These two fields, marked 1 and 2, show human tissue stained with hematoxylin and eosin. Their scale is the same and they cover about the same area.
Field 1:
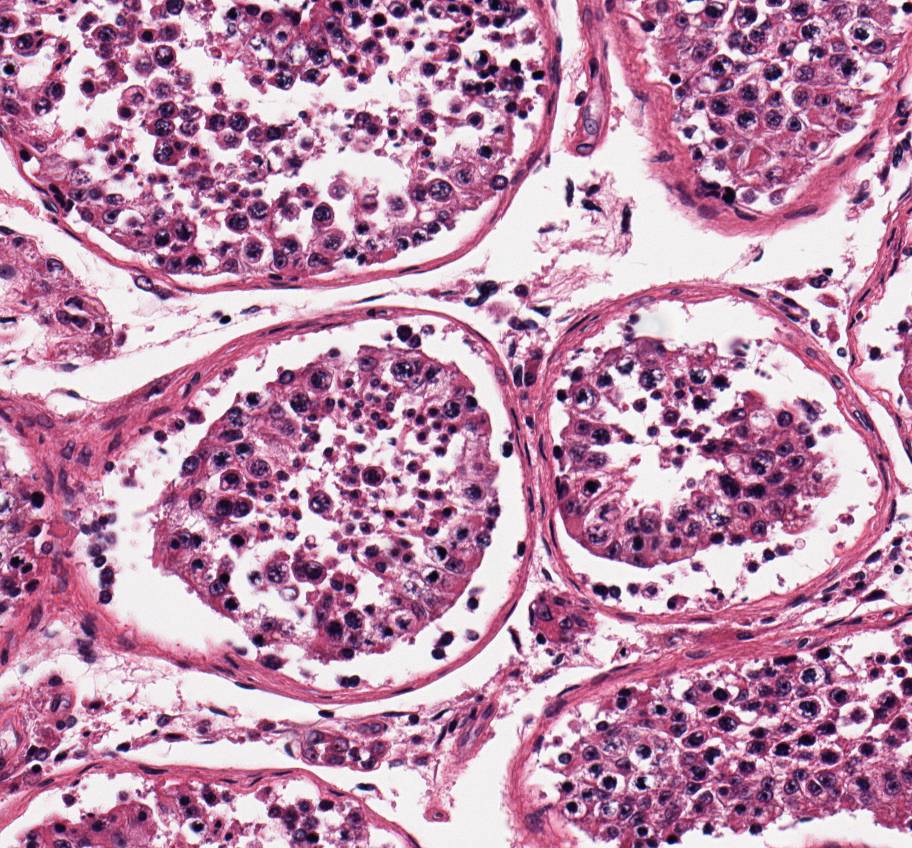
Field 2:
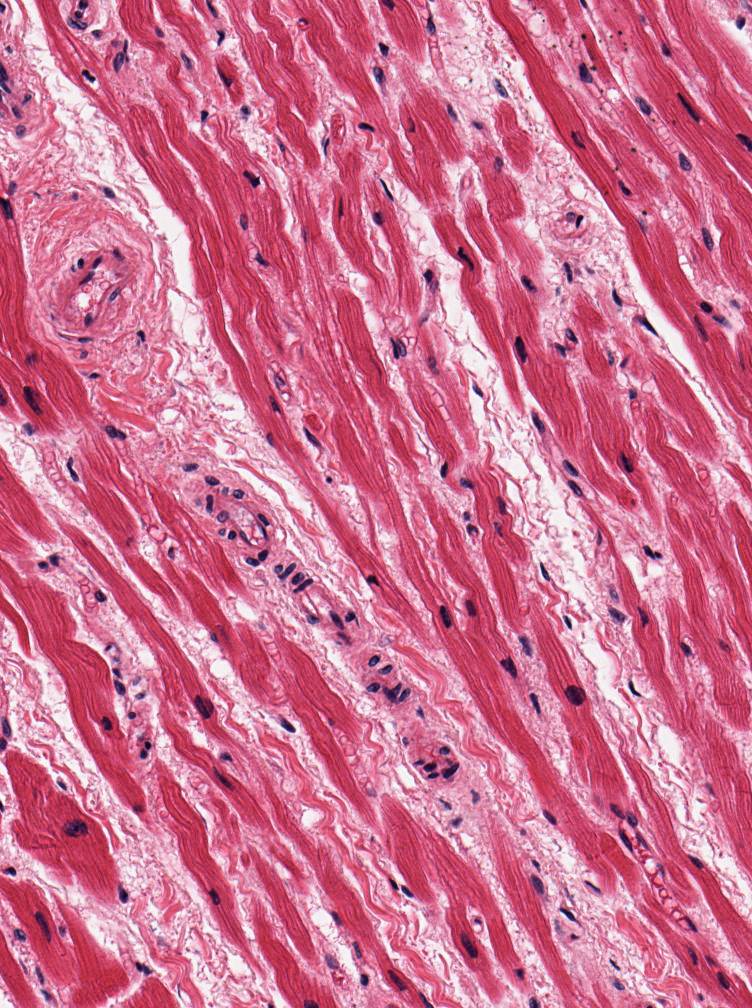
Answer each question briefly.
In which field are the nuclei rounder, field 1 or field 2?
1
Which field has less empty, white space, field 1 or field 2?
2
